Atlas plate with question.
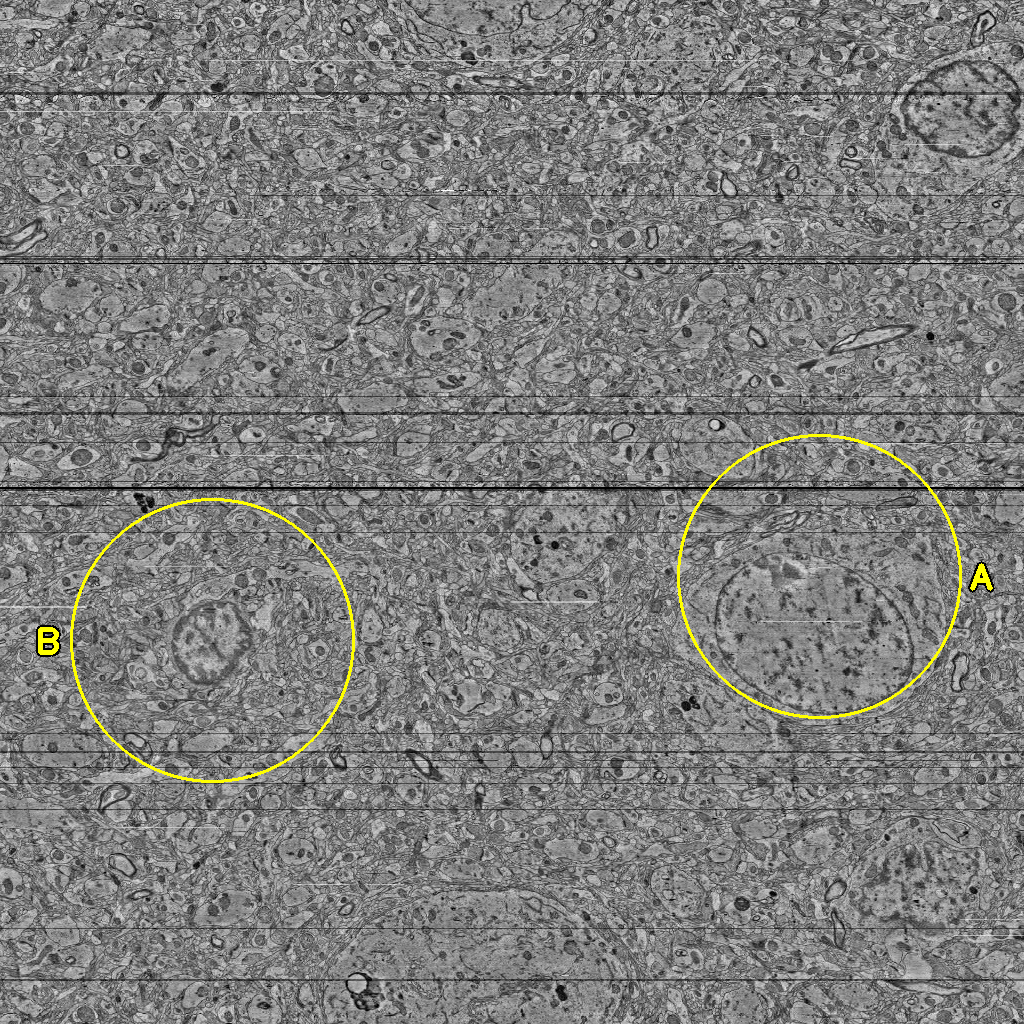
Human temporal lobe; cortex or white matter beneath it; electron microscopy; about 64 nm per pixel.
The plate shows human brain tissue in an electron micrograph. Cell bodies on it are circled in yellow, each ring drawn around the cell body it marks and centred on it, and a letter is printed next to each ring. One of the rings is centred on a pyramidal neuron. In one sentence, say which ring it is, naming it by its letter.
It is ring A.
